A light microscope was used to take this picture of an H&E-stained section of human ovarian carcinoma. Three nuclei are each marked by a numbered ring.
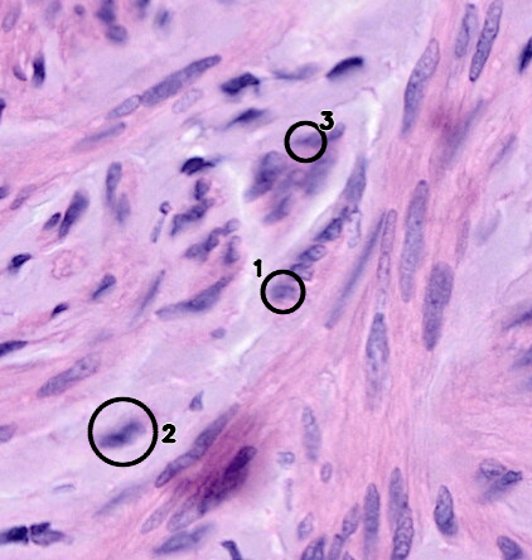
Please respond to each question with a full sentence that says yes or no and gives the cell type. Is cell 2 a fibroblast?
Yes, it checks out; the cell labelled 2 is a fibroblast.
